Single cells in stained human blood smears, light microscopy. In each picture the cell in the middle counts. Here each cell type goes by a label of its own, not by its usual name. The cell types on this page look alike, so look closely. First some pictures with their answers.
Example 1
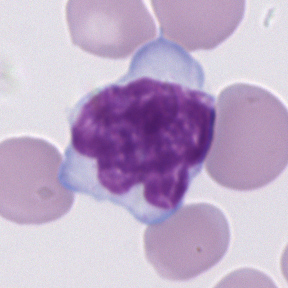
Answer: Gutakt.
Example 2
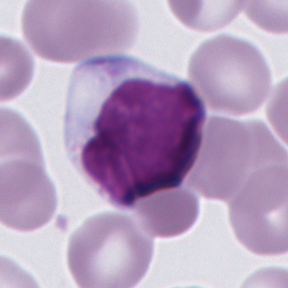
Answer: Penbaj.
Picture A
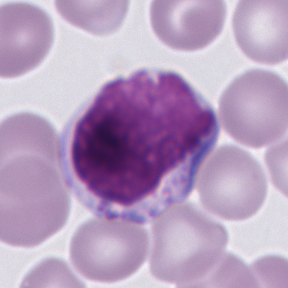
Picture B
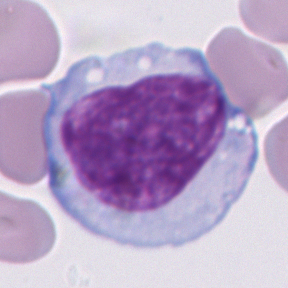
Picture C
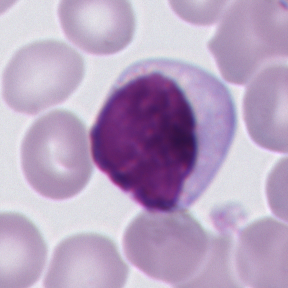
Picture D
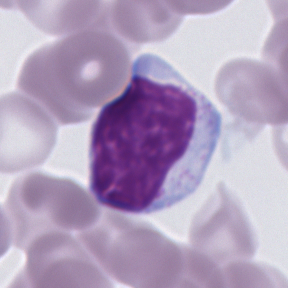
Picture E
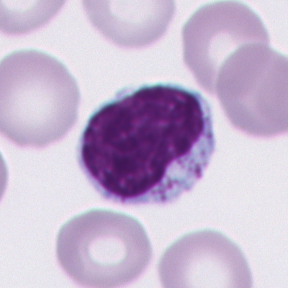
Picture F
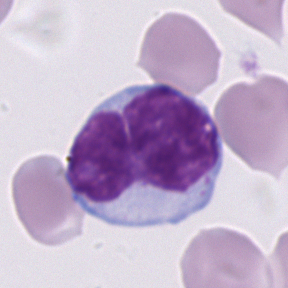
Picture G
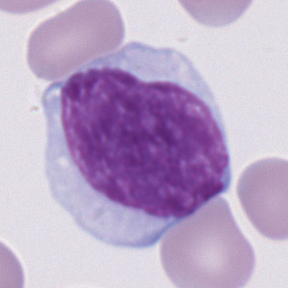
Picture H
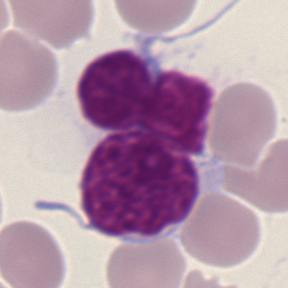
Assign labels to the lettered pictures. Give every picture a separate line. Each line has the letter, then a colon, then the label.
A: Penbaj.
B: Gutakt.
C: Penbaj.
D: Penbaj.
E: Penbaj.
F: Gutakt.
G: Gutakt.
H: Gutakt.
